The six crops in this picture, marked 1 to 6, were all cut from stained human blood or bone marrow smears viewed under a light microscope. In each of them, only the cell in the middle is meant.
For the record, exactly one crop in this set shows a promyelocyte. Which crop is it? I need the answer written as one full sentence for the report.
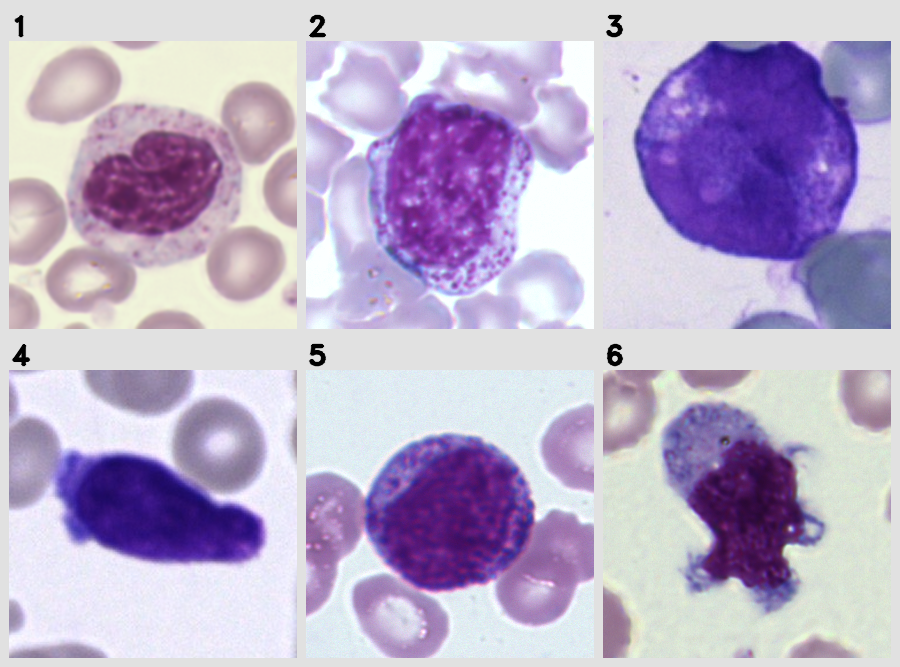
Of the crops given, a promyelocyte is found in crop 5.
